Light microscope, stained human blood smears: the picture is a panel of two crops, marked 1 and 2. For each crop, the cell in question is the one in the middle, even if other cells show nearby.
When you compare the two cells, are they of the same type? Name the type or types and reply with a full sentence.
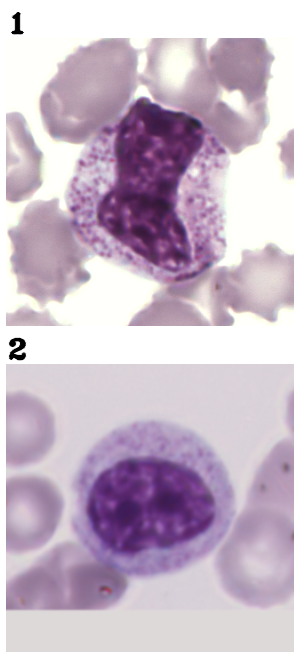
Yes, both crops feature metamyelocytes at the centre.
